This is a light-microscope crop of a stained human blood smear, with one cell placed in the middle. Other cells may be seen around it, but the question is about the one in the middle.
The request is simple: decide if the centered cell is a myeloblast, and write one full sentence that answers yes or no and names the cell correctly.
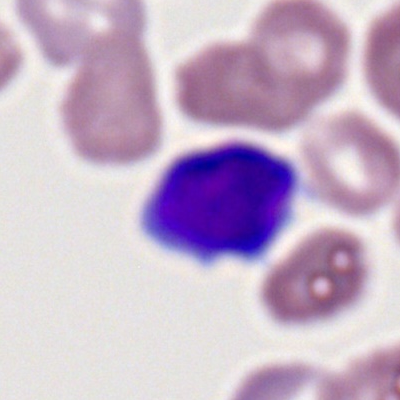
No, looking at the central cell, it is a lymphocyte rather than a myeloblast.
